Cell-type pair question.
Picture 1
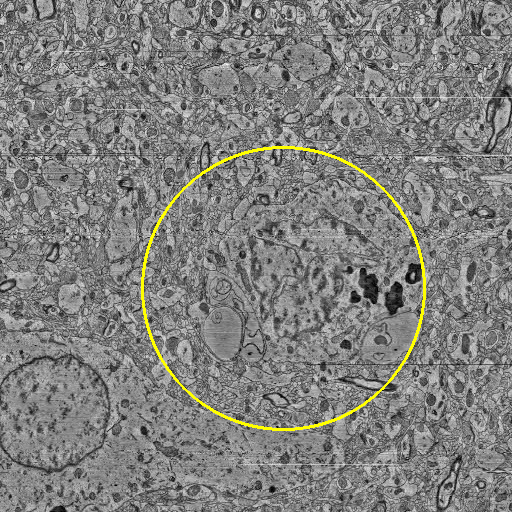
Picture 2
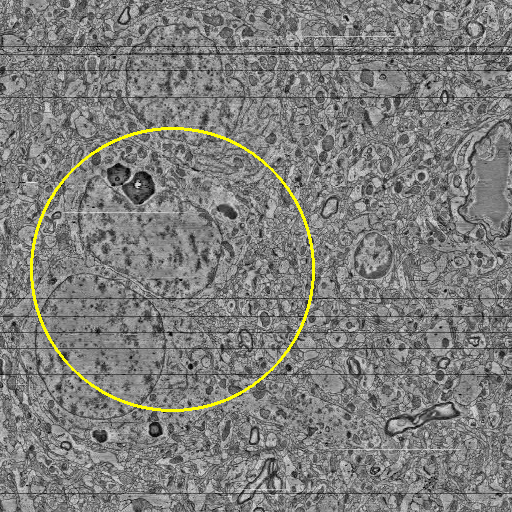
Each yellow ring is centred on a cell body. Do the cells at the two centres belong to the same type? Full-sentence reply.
Yes, the two cells belong to the same type.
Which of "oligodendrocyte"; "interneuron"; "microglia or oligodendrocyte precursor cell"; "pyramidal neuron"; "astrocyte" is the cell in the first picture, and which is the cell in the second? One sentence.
Both the first and the second picture show an interneuron in the ring.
